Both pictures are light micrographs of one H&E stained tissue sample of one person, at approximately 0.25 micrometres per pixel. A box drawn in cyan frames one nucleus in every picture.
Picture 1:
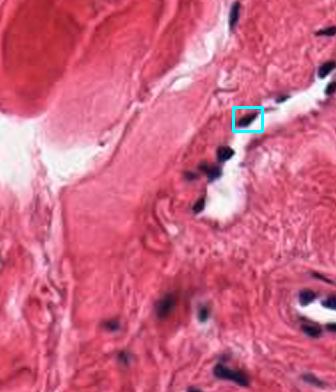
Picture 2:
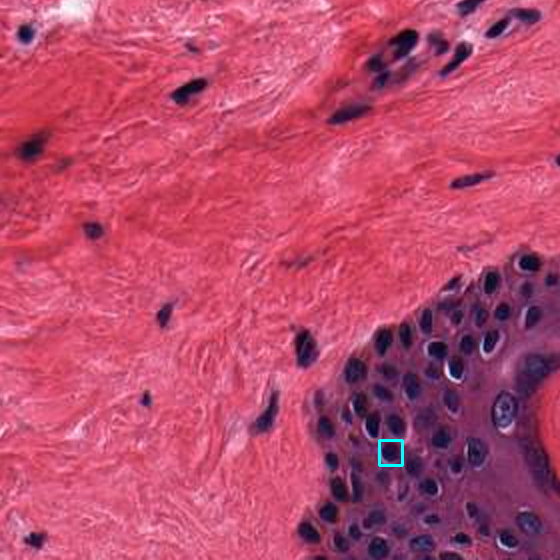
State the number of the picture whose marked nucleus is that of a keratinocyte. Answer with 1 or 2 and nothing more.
2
